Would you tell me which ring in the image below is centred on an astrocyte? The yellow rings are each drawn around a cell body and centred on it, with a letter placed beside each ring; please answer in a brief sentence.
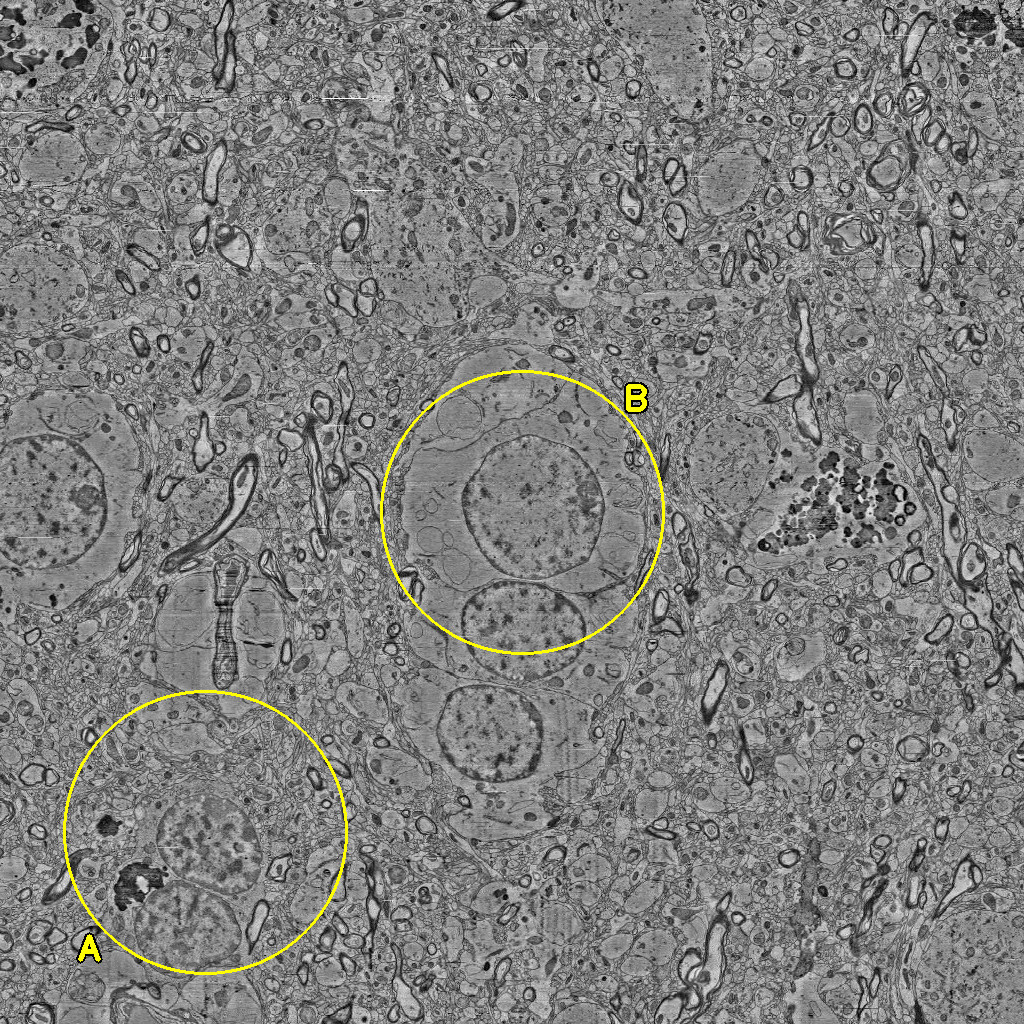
Ring B is centred on it.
